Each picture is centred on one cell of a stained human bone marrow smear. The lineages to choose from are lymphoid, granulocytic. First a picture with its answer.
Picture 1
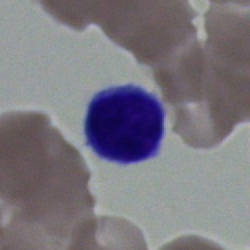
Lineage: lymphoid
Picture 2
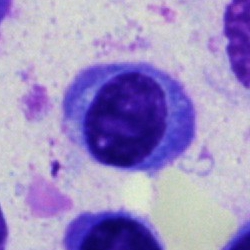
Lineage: lymphoid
